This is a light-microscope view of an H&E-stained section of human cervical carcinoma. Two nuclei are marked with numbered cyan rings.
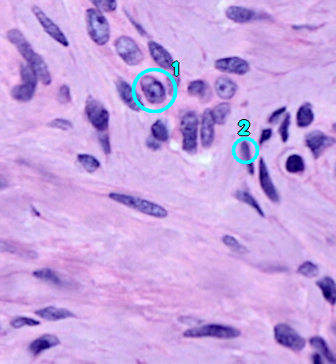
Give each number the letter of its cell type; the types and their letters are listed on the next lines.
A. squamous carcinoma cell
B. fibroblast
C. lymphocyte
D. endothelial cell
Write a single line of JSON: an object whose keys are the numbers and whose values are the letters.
{"1": "D", "2": "B"}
